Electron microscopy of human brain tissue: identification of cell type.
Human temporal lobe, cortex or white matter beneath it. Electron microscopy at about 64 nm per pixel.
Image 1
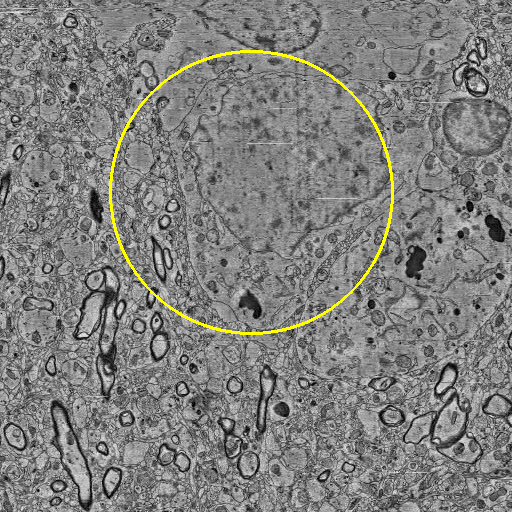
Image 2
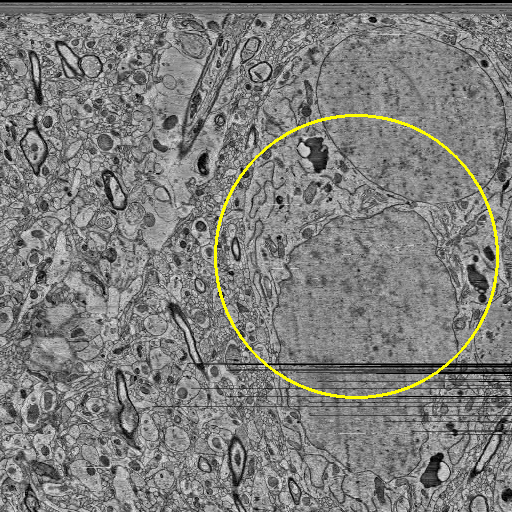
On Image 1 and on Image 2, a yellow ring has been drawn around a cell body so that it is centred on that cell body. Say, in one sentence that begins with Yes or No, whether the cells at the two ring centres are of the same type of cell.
Yes, both cells are the same type of cell.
